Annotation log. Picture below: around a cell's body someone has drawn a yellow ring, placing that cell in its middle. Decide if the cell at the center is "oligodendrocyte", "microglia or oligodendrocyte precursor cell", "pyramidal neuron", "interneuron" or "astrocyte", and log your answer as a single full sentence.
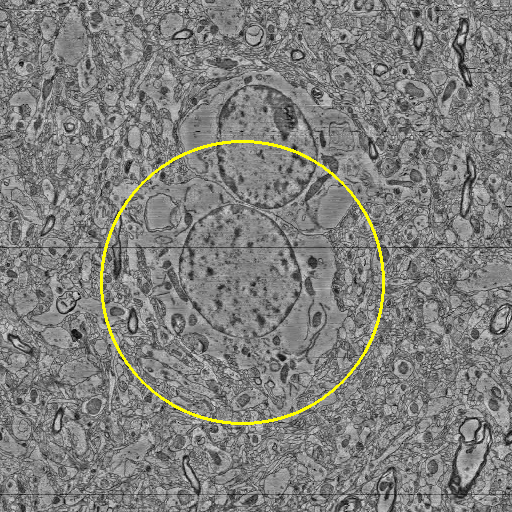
My entry records an astrocyte as the cell sitting at the center of the yellow ring.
